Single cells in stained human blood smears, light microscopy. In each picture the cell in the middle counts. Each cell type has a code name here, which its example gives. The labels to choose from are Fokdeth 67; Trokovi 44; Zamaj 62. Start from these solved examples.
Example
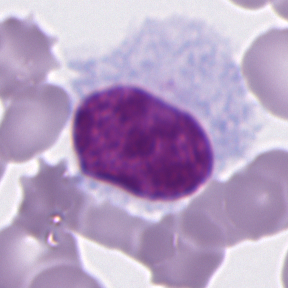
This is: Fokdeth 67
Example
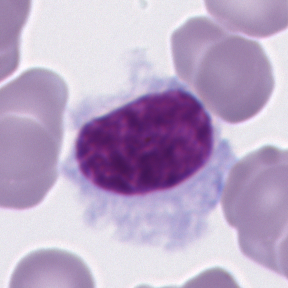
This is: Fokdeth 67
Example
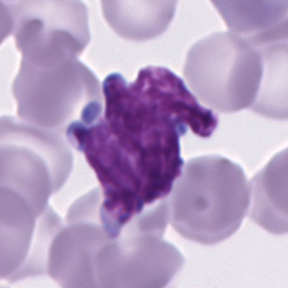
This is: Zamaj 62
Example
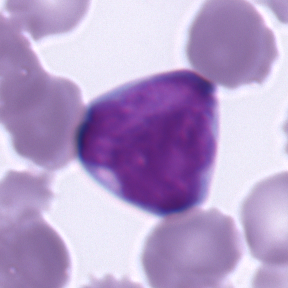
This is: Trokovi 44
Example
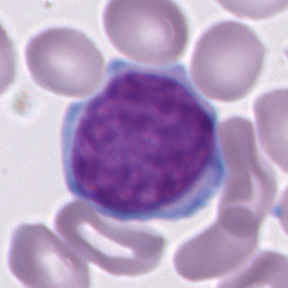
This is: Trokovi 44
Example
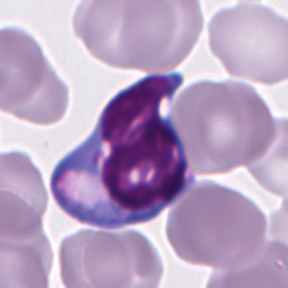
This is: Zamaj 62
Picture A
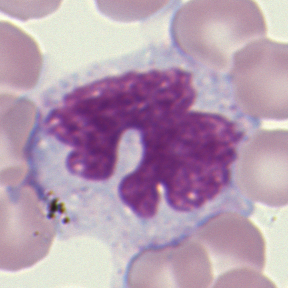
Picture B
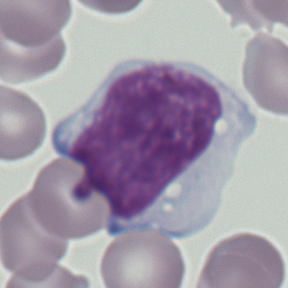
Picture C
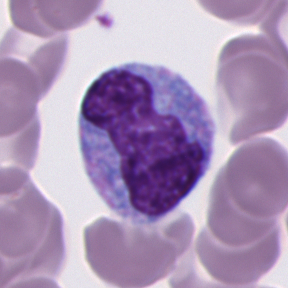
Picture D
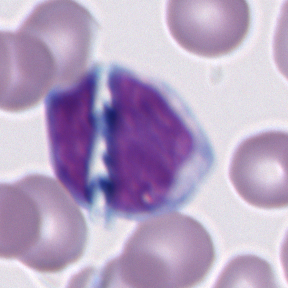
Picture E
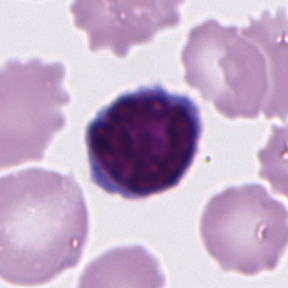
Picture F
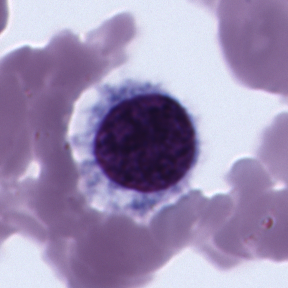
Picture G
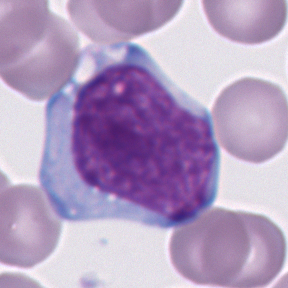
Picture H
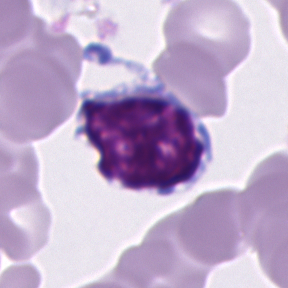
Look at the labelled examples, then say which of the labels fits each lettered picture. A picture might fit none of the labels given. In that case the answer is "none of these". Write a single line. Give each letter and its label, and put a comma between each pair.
A none of these, B Trokovi 44, C none of these, D Trokovi 44, E Zamaj 62, F Fokdeth 67, G Trokovi 44, H Zamaj 62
